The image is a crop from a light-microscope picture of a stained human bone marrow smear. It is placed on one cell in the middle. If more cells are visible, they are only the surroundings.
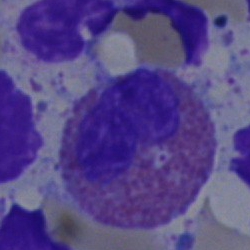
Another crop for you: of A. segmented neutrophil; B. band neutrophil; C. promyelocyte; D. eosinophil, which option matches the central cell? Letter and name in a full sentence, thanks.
In this crop the central cell is an eosinophil, which option D correctly states.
